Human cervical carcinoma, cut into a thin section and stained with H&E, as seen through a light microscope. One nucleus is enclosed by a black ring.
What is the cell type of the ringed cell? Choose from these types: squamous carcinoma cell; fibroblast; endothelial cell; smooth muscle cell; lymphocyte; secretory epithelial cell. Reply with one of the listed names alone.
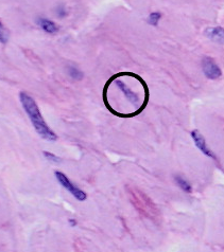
fibroblast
